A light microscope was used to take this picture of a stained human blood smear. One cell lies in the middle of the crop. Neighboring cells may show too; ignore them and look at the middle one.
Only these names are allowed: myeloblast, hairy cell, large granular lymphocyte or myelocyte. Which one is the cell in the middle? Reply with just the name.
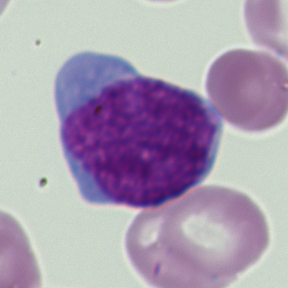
myeloblast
